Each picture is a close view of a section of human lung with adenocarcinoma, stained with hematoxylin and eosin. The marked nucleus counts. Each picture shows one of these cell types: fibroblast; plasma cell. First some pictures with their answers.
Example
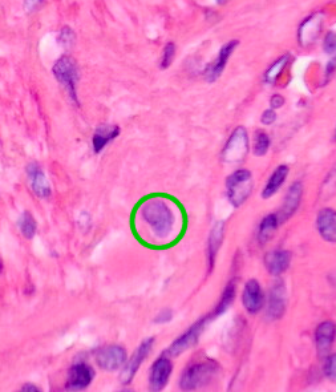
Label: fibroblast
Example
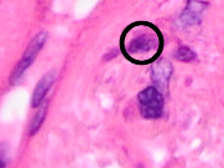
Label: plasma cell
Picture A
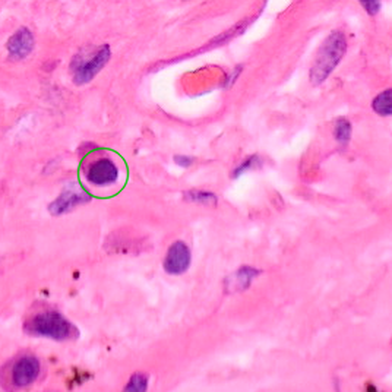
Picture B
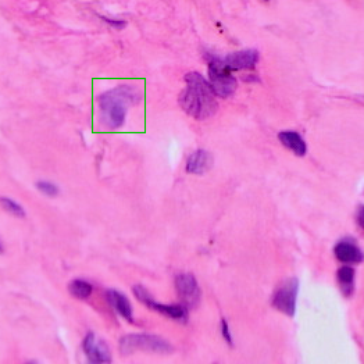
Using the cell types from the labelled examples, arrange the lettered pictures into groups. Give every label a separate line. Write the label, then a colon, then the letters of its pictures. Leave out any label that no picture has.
fibroblast: B
plasma cell: A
